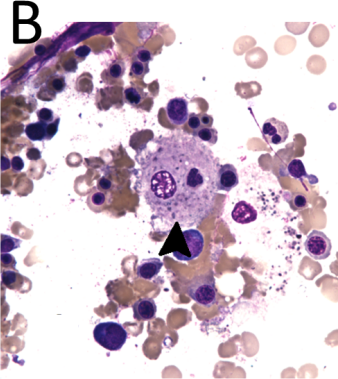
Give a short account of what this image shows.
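Bone marrow smear with a large macrophage at the centre among red cells and smaller nucleated marrow cells. A small cell with a dense, round, dark purple nucleus lies within the margin of its cytoplasm, indicating engulfment of a nucleated cell. Surrounding cells include round nucleated cells with dark, condensed nuclei and scattered pink-orange red blood cells. Fine purple granular debris is scattered to the right of the macrophage.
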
